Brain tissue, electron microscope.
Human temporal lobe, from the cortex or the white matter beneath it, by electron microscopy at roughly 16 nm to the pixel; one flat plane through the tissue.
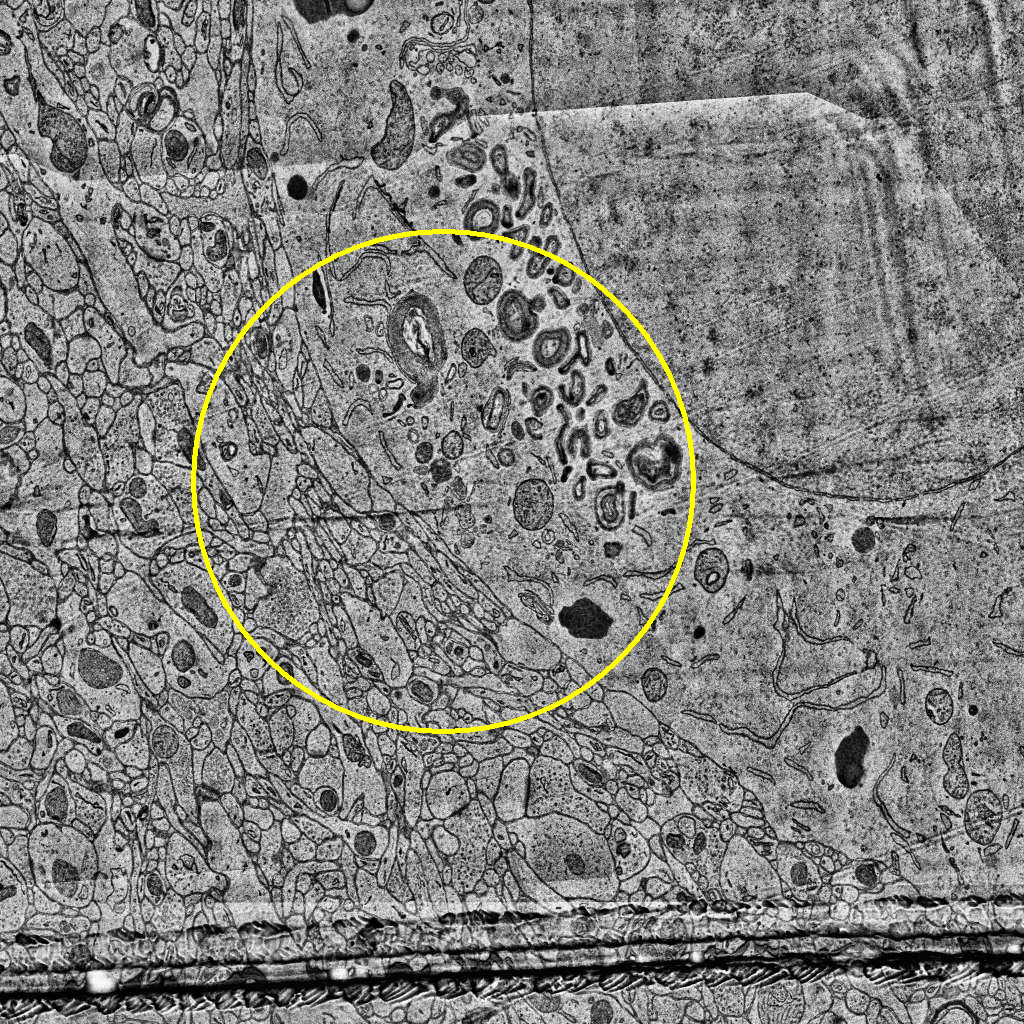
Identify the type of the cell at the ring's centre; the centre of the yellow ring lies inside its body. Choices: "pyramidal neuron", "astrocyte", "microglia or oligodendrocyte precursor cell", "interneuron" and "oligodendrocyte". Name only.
oligodendrocyte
